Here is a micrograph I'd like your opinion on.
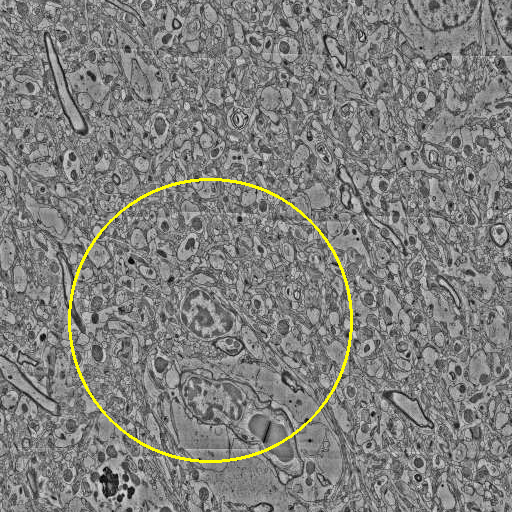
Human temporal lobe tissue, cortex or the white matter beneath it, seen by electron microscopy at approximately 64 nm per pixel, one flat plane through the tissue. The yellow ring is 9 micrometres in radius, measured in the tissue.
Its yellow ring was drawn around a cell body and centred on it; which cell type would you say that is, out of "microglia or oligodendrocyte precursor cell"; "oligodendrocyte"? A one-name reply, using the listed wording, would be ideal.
microglia or oligodendrocyte precursor cell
